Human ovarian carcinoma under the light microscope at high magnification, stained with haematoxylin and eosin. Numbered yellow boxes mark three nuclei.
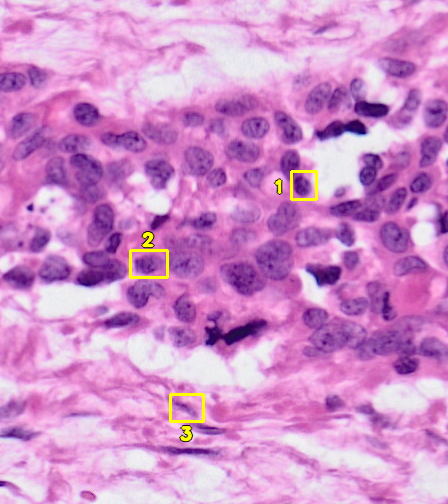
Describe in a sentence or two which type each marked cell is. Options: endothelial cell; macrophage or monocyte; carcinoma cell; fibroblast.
Cell 1 is a carcinoma cell, cell 2 is a carcinoma cell and cell 3 is a fibroblast.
